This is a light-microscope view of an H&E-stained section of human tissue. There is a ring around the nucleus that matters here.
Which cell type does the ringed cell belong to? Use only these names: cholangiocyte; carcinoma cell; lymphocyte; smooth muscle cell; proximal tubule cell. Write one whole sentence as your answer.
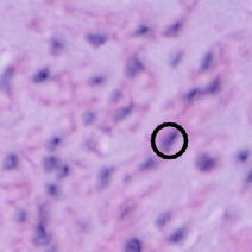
As a matter of cell type, the ringed cell is a smooth muscle cell.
